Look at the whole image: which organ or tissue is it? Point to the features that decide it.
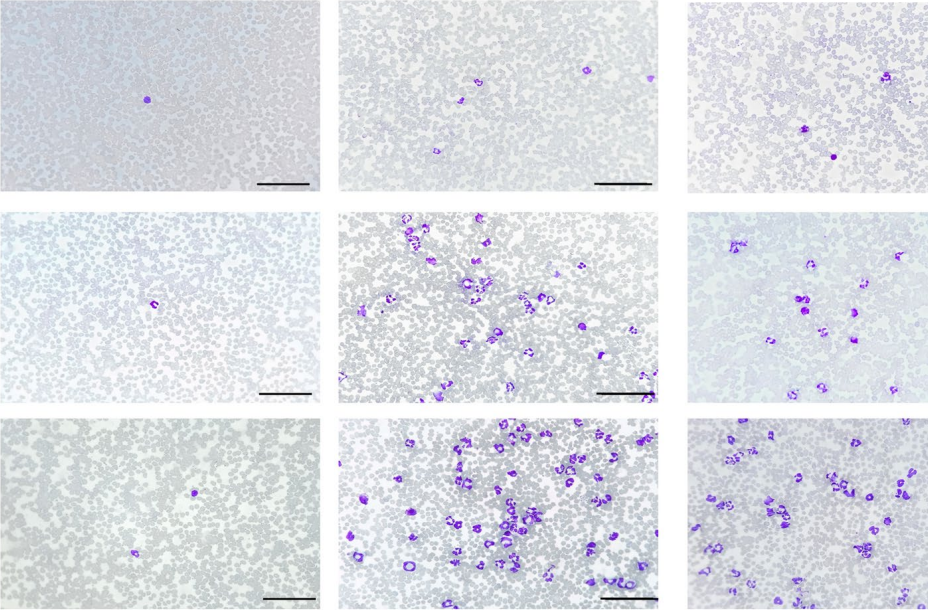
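Blood. Densely packed small pale round cells without nuclei. Scattered larger cells with purple-stained nuclei between them.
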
